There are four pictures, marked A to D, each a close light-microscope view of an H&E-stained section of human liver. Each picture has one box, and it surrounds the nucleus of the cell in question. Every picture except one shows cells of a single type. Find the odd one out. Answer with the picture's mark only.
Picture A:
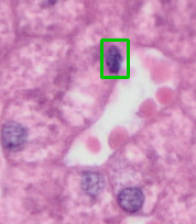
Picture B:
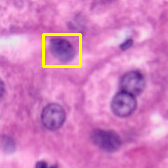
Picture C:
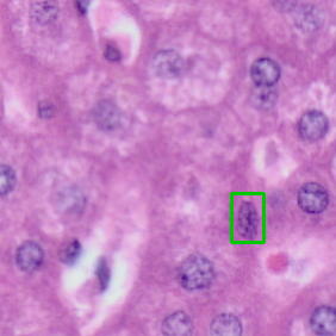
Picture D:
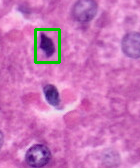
B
